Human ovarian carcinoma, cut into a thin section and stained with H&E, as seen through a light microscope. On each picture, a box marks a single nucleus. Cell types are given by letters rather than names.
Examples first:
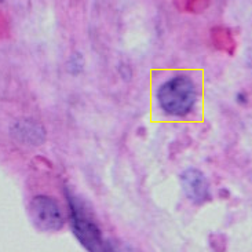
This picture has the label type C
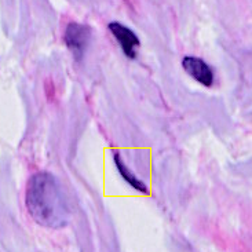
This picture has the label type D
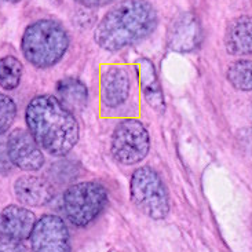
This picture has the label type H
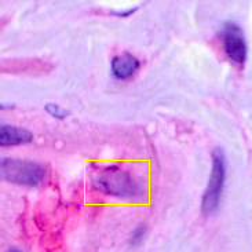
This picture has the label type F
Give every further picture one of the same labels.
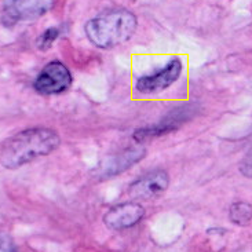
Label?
type C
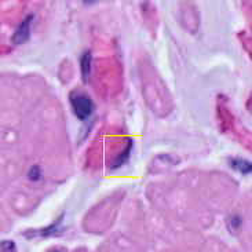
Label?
type F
